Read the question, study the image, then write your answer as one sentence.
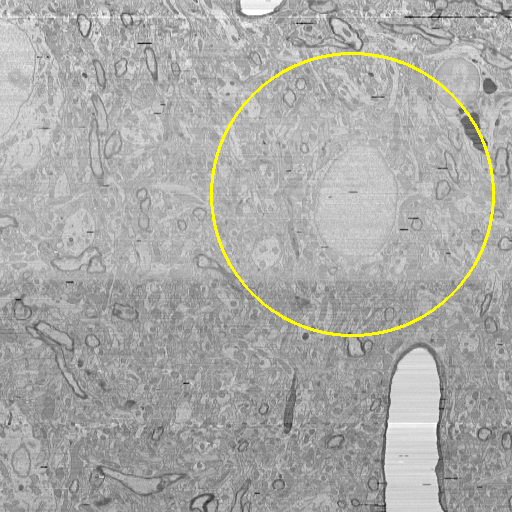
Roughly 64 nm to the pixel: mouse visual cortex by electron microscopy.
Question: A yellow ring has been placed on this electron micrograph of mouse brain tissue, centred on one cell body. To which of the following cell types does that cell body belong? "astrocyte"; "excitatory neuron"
That cell body belongs to an astrocyte.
